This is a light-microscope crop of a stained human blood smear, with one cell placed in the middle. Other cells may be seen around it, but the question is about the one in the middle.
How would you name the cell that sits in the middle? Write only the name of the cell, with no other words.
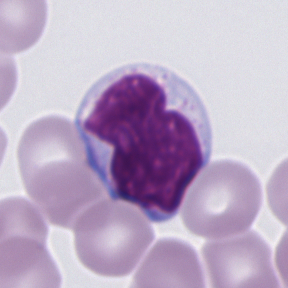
large granular lymphocyte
